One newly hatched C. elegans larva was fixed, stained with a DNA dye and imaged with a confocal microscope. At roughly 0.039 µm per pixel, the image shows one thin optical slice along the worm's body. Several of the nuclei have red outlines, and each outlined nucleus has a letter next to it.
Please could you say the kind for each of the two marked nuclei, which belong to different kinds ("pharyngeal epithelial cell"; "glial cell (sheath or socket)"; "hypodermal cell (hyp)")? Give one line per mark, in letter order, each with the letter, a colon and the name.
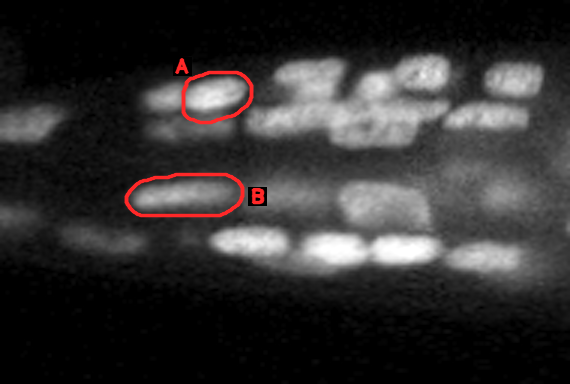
A: hypodermal cell (hyp)
B: pharyngeal epithelial cell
